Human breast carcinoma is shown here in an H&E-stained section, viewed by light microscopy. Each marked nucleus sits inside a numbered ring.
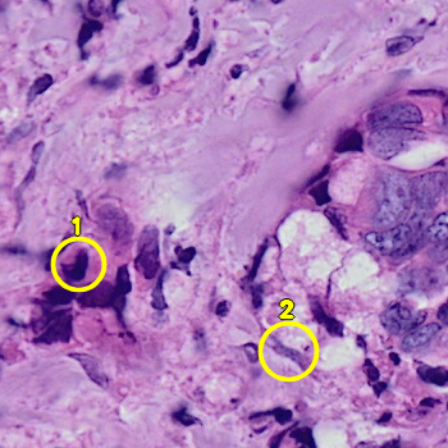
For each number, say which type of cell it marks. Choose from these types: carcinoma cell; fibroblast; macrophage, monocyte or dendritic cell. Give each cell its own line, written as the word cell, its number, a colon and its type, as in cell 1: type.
cell 1: carcinoma cell
cell 2: fibroblast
